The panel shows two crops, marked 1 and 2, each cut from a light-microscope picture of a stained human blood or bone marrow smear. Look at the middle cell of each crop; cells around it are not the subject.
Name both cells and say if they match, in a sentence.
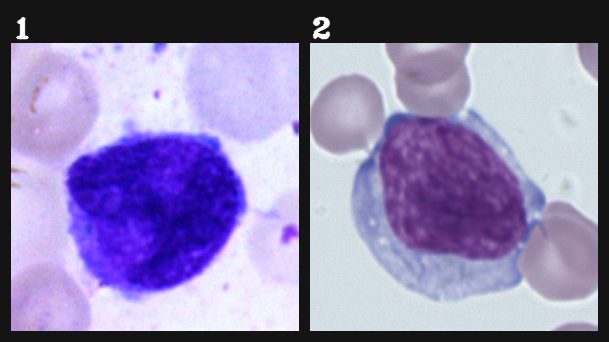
Yes, blasts occupy the centre of both crops.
